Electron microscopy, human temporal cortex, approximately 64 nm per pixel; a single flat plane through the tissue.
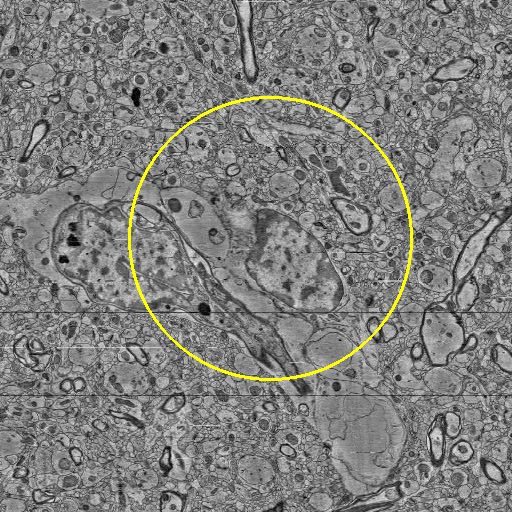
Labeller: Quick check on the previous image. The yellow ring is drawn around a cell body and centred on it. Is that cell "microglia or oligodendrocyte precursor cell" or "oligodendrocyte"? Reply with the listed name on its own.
microglia or oligodendrocyte precursor cell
